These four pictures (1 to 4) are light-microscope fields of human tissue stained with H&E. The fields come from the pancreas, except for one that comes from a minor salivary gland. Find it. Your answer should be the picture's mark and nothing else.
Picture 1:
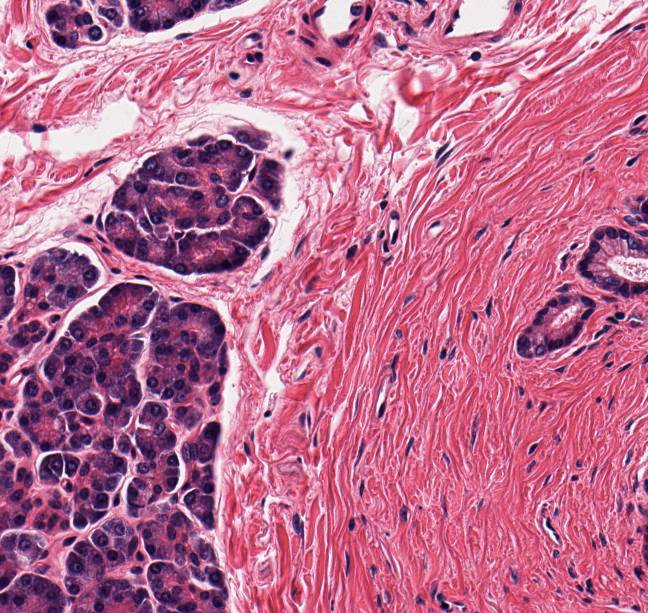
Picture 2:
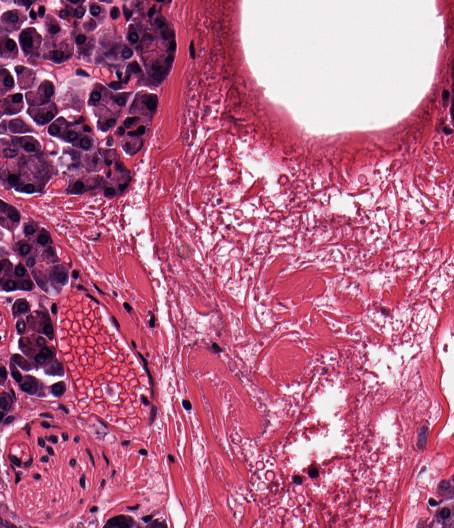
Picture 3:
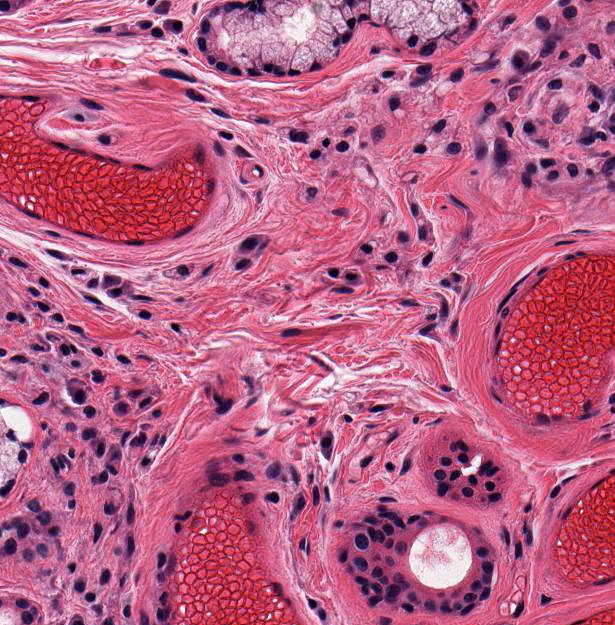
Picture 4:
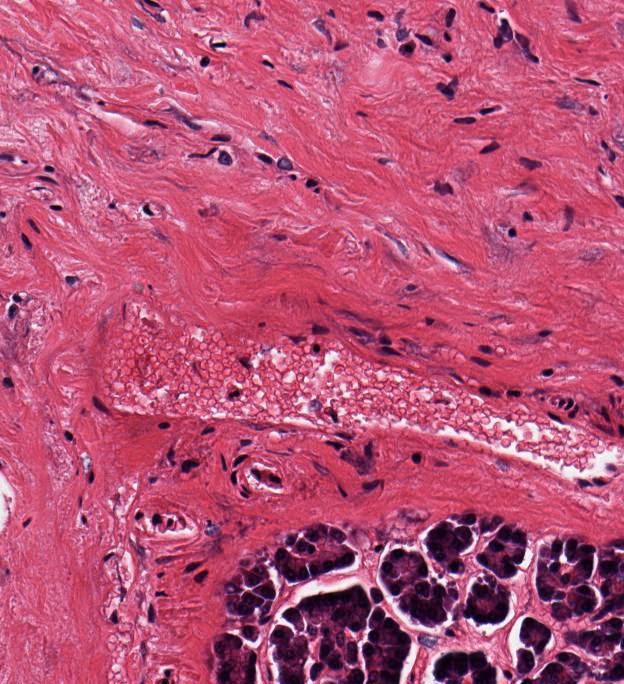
3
